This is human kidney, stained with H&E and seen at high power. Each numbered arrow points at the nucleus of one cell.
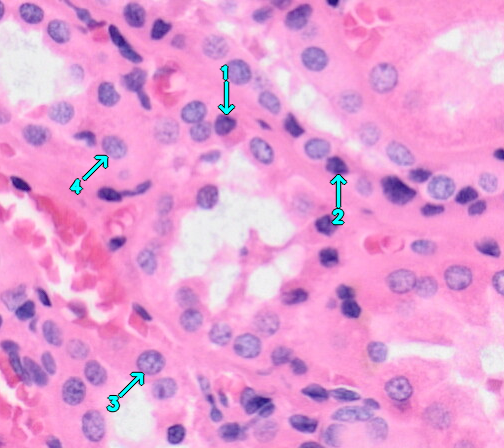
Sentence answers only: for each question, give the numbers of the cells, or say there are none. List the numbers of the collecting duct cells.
The only cell among those numbered to be a collecting duct cell is number 2.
